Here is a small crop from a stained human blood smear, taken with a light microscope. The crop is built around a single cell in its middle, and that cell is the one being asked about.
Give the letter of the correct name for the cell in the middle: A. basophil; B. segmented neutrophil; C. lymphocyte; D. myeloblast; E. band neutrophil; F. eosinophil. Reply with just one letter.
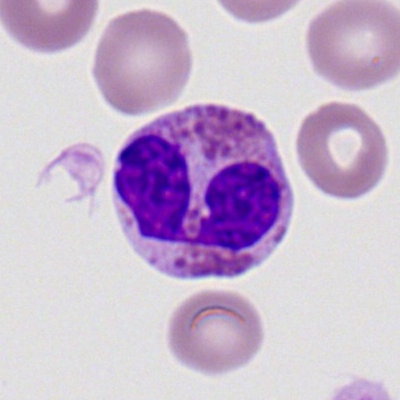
F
